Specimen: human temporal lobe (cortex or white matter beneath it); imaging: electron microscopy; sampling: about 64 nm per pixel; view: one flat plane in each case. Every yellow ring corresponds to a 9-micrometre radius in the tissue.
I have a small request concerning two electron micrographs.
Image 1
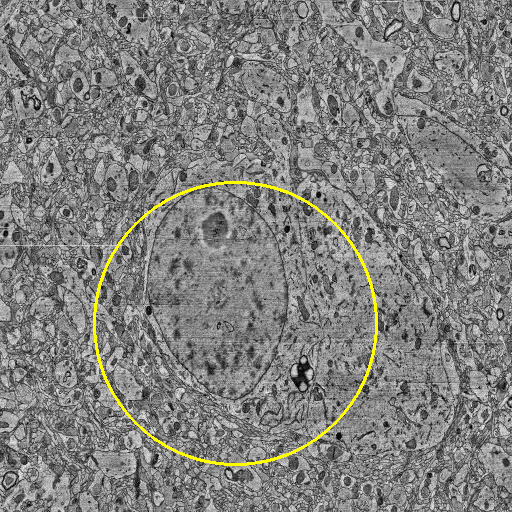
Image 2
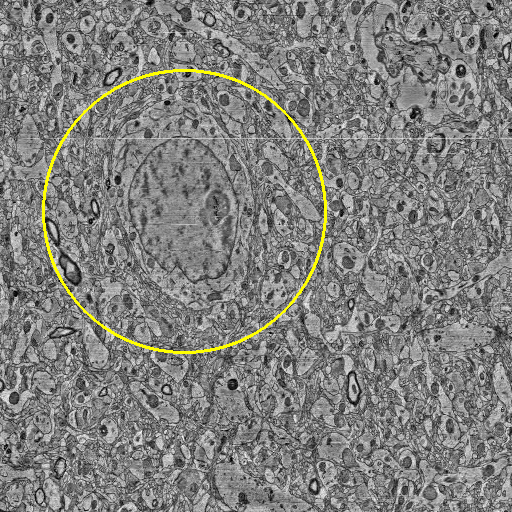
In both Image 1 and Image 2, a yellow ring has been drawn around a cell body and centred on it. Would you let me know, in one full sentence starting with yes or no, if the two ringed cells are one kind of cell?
Yes, the cells ringed in Image 1 and Image 2 are one kind of cell.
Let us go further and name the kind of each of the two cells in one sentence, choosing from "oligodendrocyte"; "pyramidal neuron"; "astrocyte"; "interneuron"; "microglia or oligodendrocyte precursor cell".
Each of the ringed cells, first and second, is a pyramidal neuron.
